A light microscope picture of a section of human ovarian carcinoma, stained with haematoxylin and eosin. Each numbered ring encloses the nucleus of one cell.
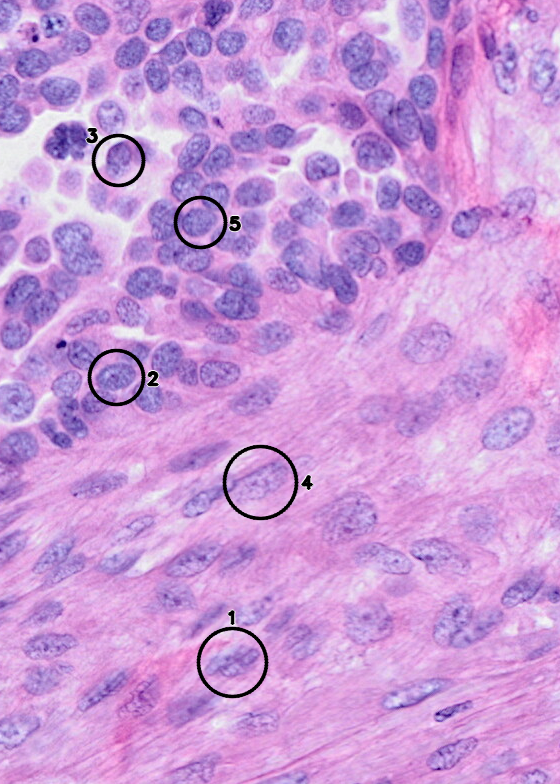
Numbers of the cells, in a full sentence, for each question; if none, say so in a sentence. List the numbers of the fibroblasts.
The cells labelled 1 and 4 in this section are fibroblasts.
